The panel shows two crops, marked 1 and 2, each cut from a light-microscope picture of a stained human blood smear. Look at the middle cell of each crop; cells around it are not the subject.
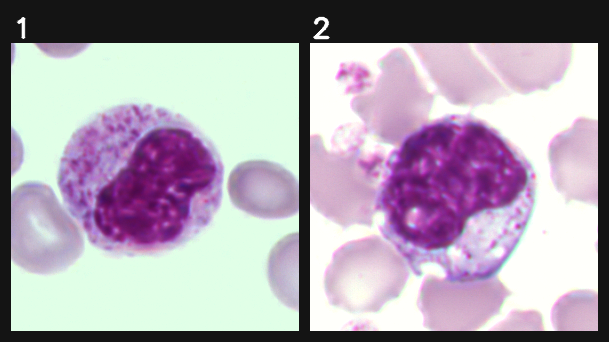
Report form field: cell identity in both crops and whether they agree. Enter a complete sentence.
Yes, in both crops, metamyelocytes are the cells at the middle.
